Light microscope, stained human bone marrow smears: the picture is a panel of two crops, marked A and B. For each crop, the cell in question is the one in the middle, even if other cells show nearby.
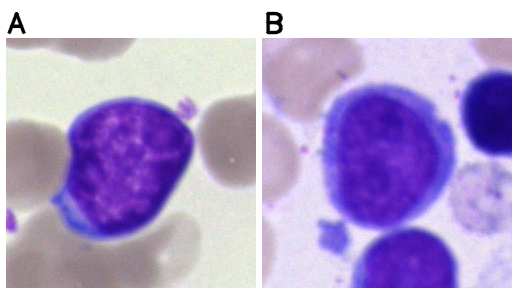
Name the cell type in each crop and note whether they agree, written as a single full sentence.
Yes, both crops show blasts at their middles.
